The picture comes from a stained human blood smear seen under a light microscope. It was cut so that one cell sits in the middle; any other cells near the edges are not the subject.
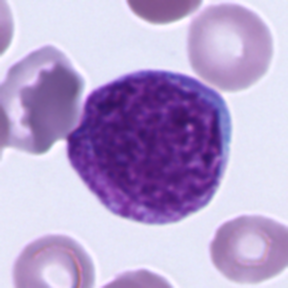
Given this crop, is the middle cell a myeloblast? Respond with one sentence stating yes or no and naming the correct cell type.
No, what occupies the middle of the crop is an atypical promyelocyte and not a myeloblast.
